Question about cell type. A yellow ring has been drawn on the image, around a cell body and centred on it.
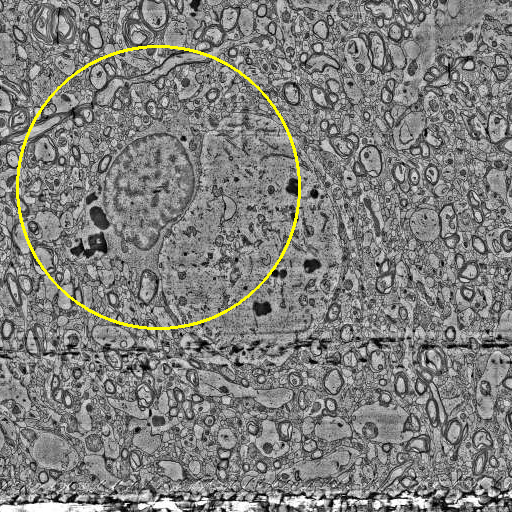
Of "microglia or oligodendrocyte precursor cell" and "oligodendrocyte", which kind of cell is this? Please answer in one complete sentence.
At the centre of the ring lies an oligodendrocyte.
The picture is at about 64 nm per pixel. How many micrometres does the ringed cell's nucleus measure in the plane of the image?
Roughly 8 by 6 micrometres in this plane, for the nucleus of the ringed cell.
